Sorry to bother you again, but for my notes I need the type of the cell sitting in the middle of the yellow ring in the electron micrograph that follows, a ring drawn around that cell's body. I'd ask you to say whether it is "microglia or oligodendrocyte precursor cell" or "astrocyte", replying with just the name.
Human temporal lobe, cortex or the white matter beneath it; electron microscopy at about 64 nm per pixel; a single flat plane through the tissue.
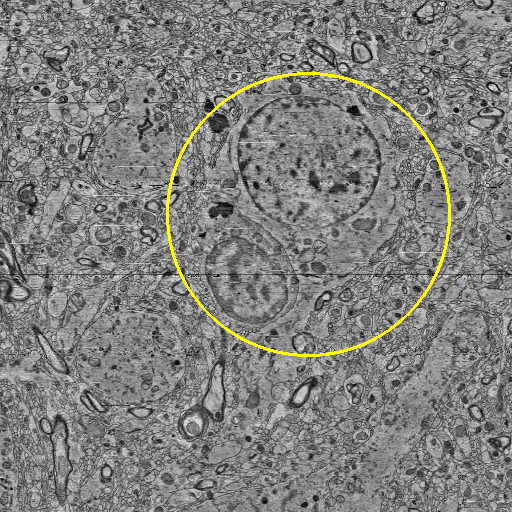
astrocyte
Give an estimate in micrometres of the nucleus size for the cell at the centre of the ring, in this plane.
The nucleus is approximately 9 micrometers across in this plane.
